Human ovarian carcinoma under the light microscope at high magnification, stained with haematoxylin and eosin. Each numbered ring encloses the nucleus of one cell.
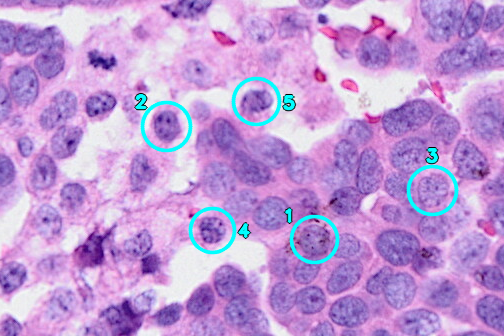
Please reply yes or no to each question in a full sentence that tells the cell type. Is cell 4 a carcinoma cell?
No, cell 4, which is a macrophage or monocyte, is not a carcinoma cell.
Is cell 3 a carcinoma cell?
Yes, the cell pointed out as number 3 is a carcinoma cell.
